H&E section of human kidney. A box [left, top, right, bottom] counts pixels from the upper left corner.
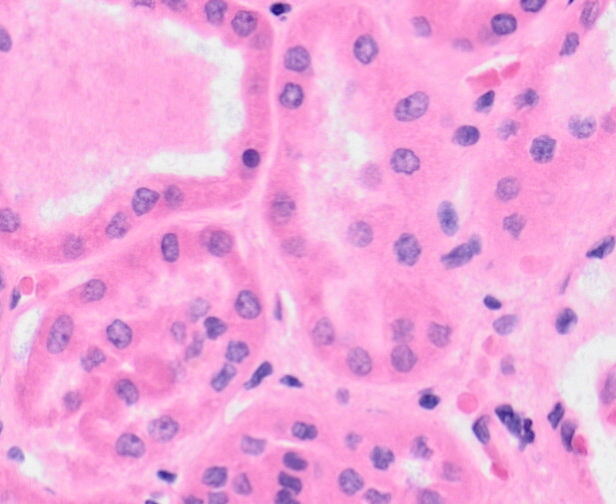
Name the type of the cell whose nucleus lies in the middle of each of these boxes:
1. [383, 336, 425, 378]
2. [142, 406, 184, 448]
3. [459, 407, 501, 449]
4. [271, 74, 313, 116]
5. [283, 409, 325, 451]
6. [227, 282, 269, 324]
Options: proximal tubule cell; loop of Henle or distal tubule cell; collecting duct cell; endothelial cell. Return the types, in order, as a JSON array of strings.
["proximal tubule cell", "proximal tubule cell", "endothelial cell", "proximal tubule cell", "loop of Henle or distal tubule cell", "proximal tubule cell"]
